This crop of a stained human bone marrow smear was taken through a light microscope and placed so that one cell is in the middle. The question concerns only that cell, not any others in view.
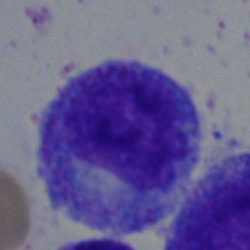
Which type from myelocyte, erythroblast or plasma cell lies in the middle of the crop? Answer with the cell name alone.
myelocyte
